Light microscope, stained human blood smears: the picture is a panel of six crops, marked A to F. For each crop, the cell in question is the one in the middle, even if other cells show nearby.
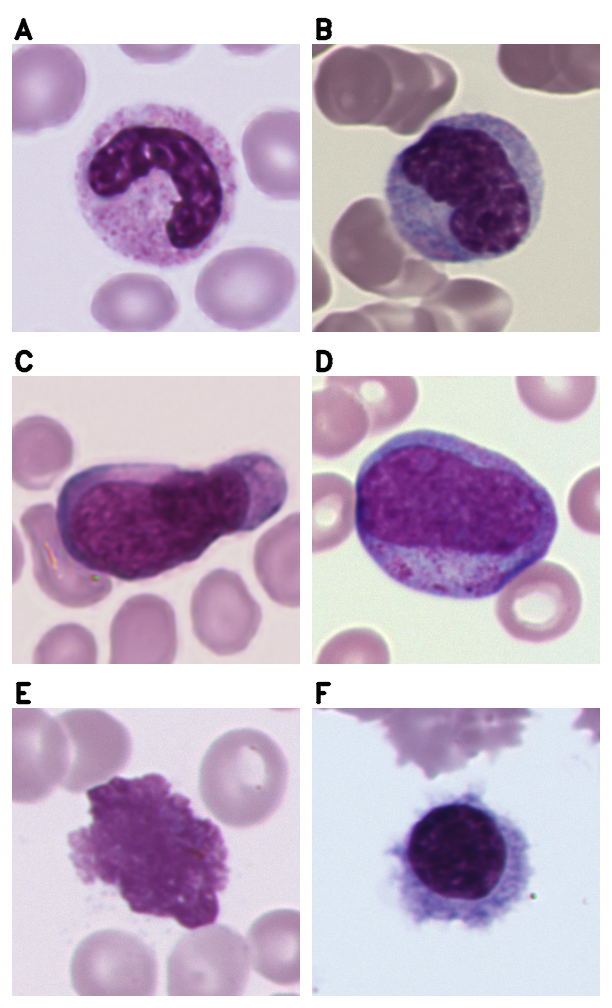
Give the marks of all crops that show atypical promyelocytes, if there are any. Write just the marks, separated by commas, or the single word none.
C, D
